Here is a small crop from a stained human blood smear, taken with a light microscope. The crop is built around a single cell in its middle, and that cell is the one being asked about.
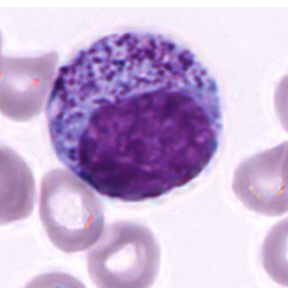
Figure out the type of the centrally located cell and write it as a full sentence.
The centered cell in this crop is a promyelocyte.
